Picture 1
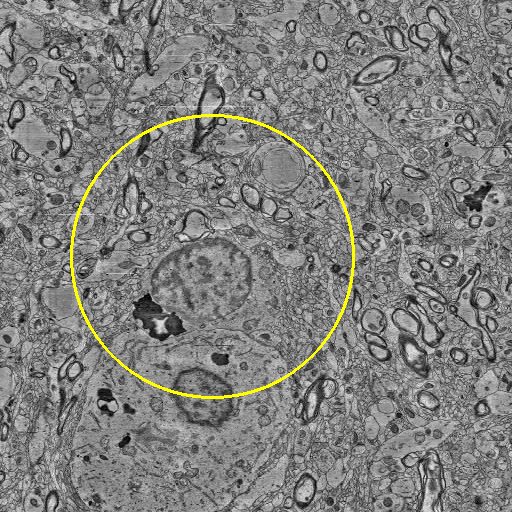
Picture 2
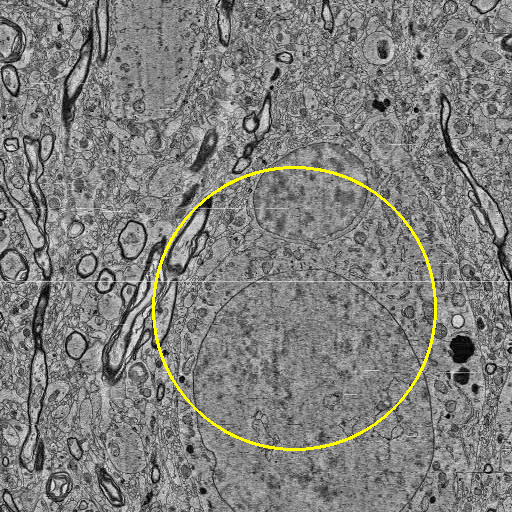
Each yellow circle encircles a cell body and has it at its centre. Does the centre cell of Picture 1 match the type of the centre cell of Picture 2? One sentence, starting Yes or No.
No, the cell centred in Picture 1 and the one in Picture 2 have separate types.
